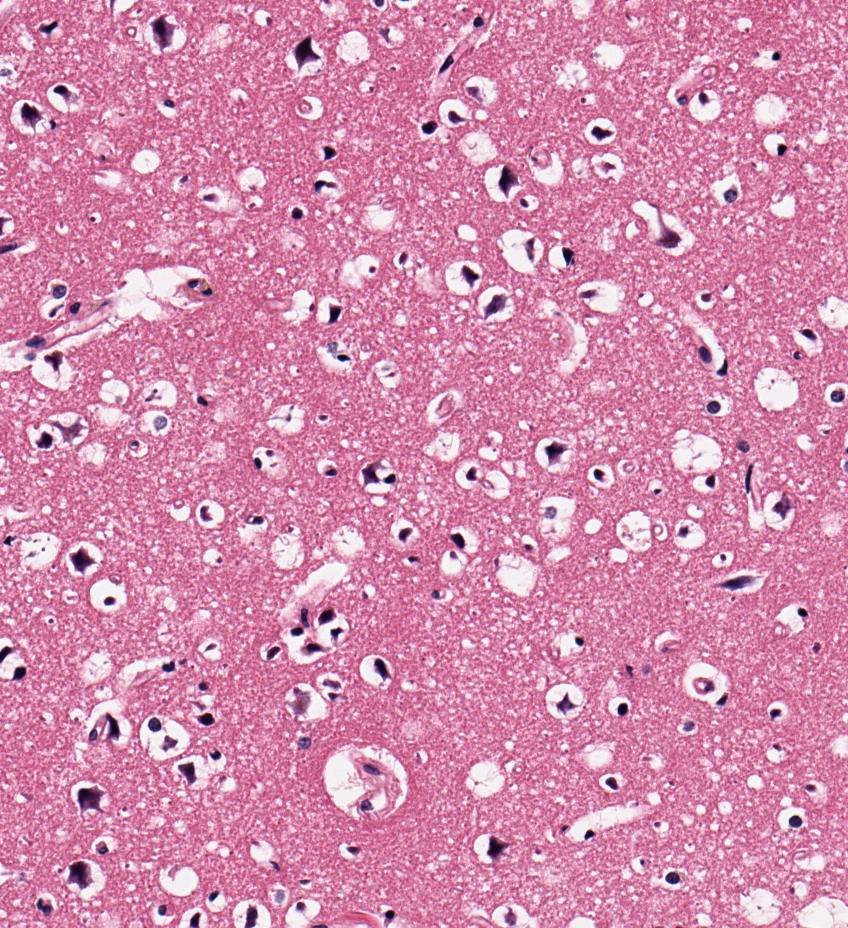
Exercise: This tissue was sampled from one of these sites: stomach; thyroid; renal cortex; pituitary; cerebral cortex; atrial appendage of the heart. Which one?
cerebral cortex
